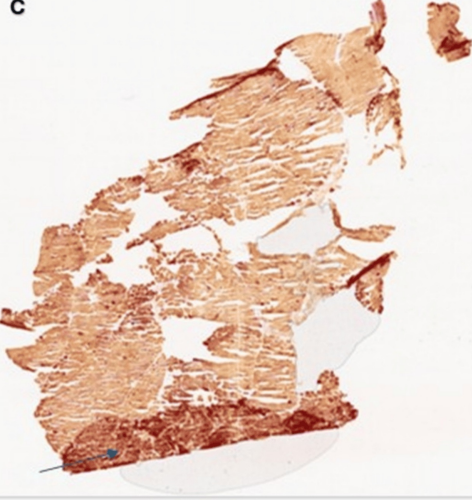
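A single large fragment of skeletal muscle is shown at low magnification, the fibers stained tan to light brown. The fibers run mostly in parallel, separated by many pale clefts and gaps. Along the lower edge of the fragment lies a band stained a much darker brown than the rest of the tissue. Smaller darker brown patches are seen at a few other edges of the fragment.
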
